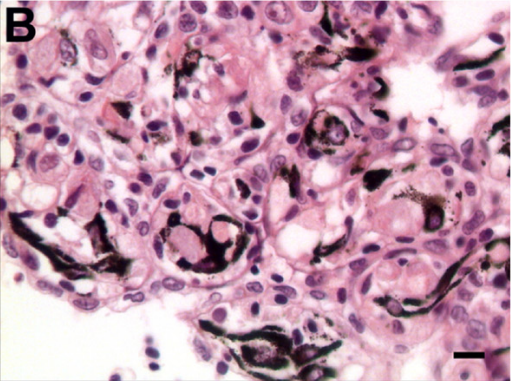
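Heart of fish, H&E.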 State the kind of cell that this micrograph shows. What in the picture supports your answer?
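Several cells contain dense black pigment in their cytoplasm. Some pigmented cells are elongated with branching extensions. Others are rounded with pigment surrounding a nucleus.
Answer: melanomacrophages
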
